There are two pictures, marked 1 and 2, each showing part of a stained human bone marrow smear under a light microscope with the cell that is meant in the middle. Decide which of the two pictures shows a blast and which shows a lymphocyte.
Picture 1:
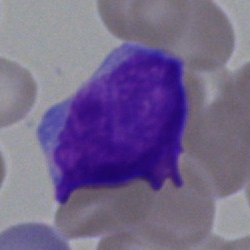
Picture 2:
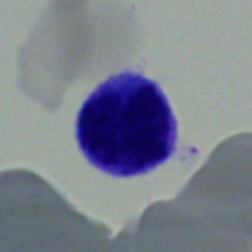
1: blast
2: lymphocyte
